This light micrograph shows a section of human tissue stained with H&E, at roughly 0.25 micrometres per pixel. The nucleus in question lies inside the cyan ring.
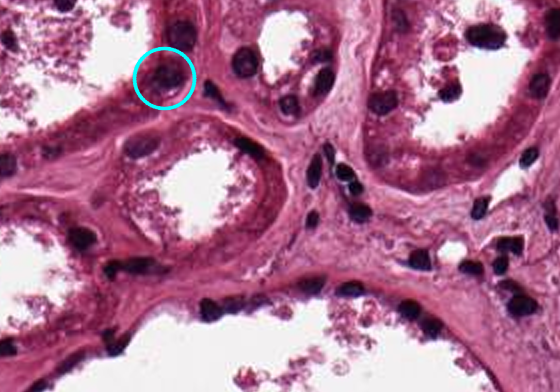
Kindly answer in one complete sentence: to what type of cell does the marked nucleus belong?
Here it is a proximal tubule cell that the marked nucleus belongs to.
